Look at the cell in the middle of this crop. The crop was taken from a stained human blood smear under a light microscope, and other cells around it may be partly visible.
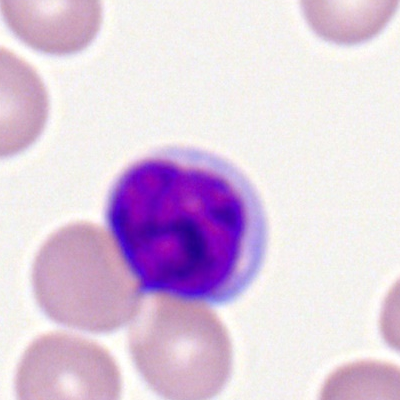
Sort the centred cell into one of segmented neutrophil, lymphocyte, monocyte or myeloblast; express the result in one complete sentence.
The identification for the central cell is a lymphocyte.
